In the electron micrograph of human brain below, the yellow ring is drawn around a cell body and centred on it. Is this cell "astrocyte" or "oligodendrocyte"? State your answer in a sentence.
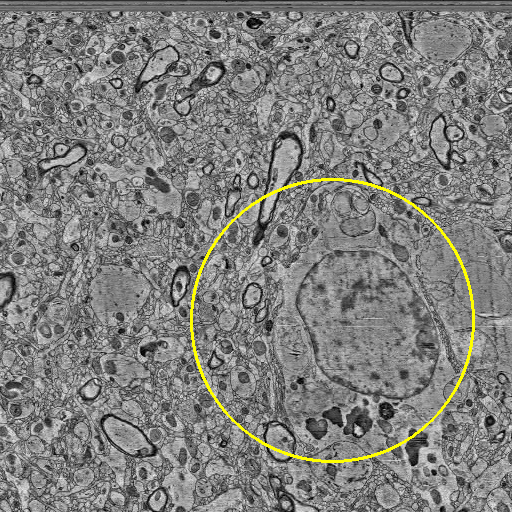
The cell in the middle of the ring is an astrocyte.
